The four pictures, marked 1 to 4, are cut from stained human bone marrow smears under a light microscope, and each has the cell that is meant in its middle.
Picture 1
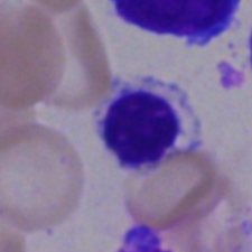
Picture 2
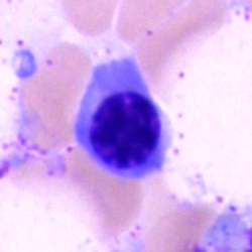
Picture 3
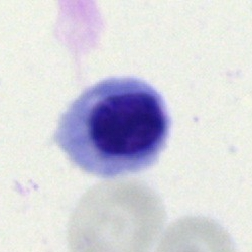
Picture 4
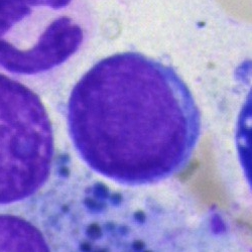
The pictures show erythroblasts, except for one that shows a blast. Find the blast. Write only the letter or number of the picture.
4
